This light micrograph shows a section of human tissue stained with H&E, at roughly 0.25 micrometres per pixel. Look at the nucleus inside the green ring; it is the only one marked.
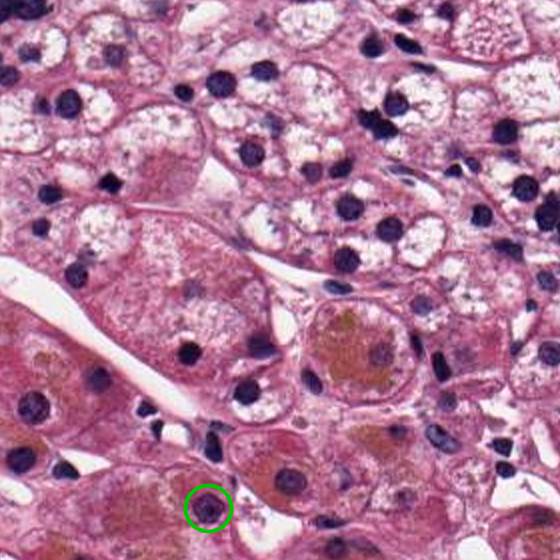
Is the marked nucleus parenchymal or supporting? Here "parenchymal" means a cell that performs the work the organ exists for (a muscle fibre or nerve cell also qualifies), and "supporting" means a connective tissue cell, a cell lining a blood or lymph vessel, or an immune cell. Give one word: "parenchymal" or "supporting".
parenchymal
